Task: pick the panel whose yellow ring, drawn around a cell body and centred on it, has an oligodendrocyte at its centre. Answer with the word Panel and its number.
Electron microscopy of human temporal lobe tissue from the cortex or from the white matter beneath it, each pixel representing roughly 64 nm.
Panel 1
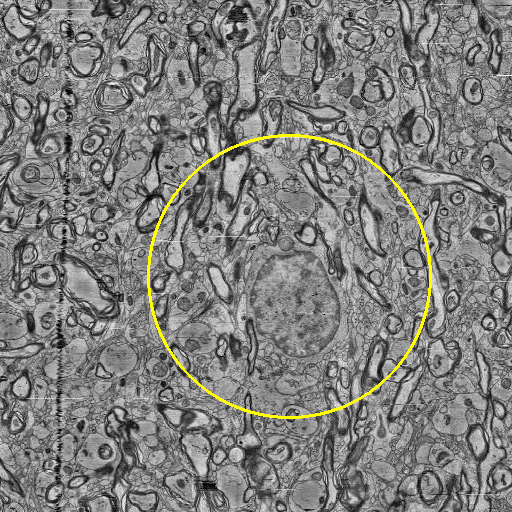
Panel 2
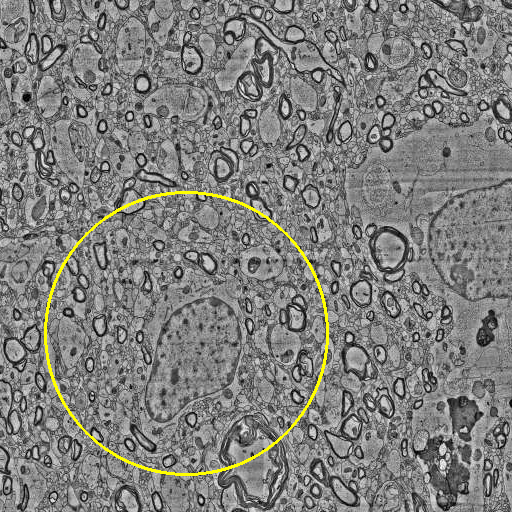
Panel 1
